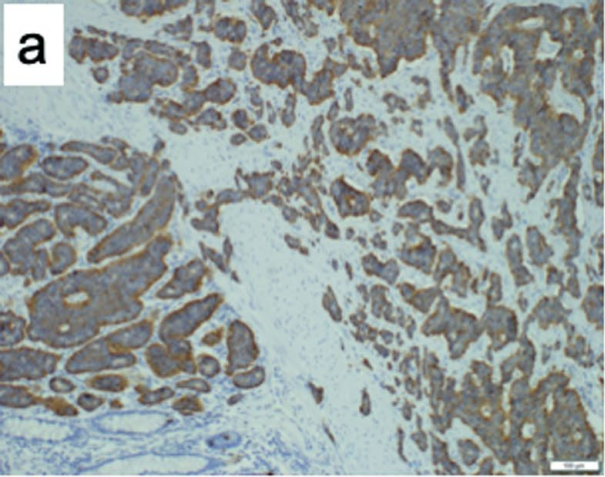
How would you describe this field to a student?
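Crowded nests, cords and trabeculae of epithelial cells are packed in pale fibrous stroma, some nests showing small gland-like lumina. The cytoplasm of these cell groups takes up a brown stain, strongest at the rims of the nests, while the nuclei appear blue. The stroma between the nests and the small structures at the lower left stay unstained and blue. The pattern is that of a solid, nested epithelial growth with cytoplasmic staining throughout the cell groups.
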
